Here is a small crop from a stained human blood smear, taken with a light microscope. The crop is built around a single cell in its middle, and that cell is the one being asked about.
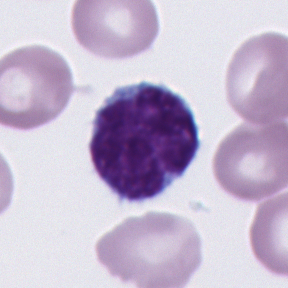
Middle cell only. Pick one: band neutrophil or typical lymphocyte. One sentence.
Within this crop, a typical lymphocyte occupies the central position.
